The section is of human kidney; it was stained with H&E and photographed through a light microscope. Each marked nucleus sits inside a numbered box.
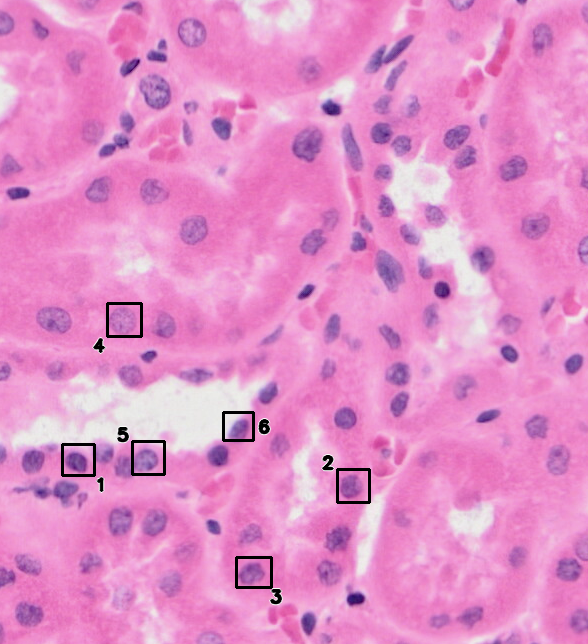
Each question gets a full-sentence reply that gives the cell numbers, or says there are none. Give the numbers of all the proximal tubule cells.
The cells with the numbers 2, 3 and 4 are proximal tubule cells.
